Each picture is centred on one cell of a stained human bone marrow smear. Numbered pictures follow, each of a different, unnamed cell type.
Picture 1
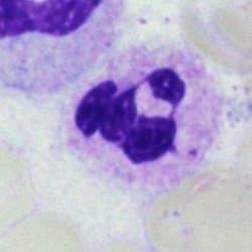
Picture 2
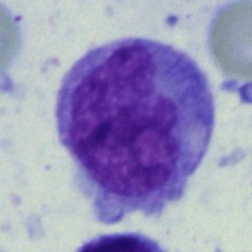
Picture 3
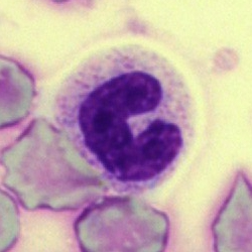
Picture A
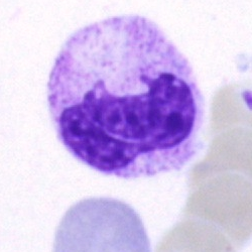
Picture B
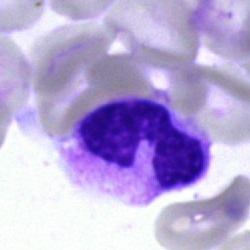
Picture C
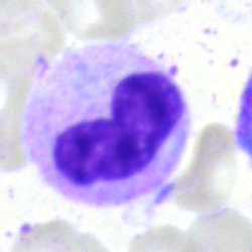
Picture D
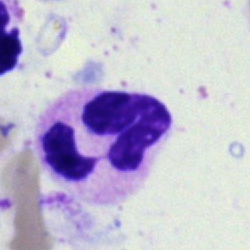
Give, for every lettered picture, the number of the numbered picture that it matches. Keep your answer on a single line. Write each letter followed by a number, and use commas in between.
A 3, B 3, C 3, D 1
